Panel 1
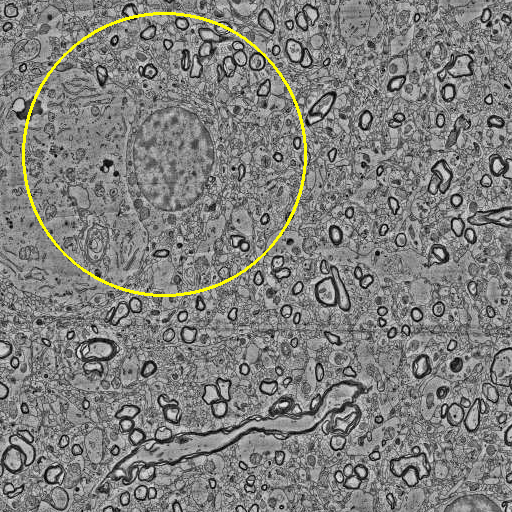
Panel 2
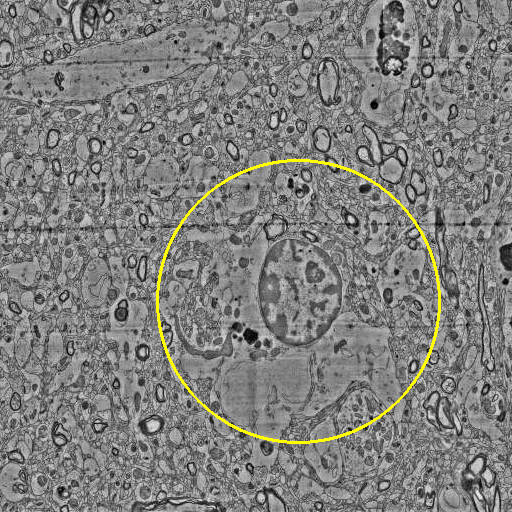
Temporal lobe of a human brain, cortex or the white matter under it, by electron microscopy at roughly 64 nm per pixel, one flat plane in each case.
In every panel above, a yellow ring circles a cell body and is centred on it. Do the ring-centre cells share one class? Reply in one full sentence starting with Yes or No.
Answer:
No, the two cells at the ring centres in the panels belong to two classes.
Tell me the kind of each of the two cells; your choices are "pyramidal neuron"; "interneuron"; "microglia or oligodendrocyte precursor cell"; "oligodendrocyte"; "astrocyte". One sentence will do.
The ringed cell is an oligodendrocyte in the first picture and a microglial cell or oligodendrocyte precursor cell in the second picture.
